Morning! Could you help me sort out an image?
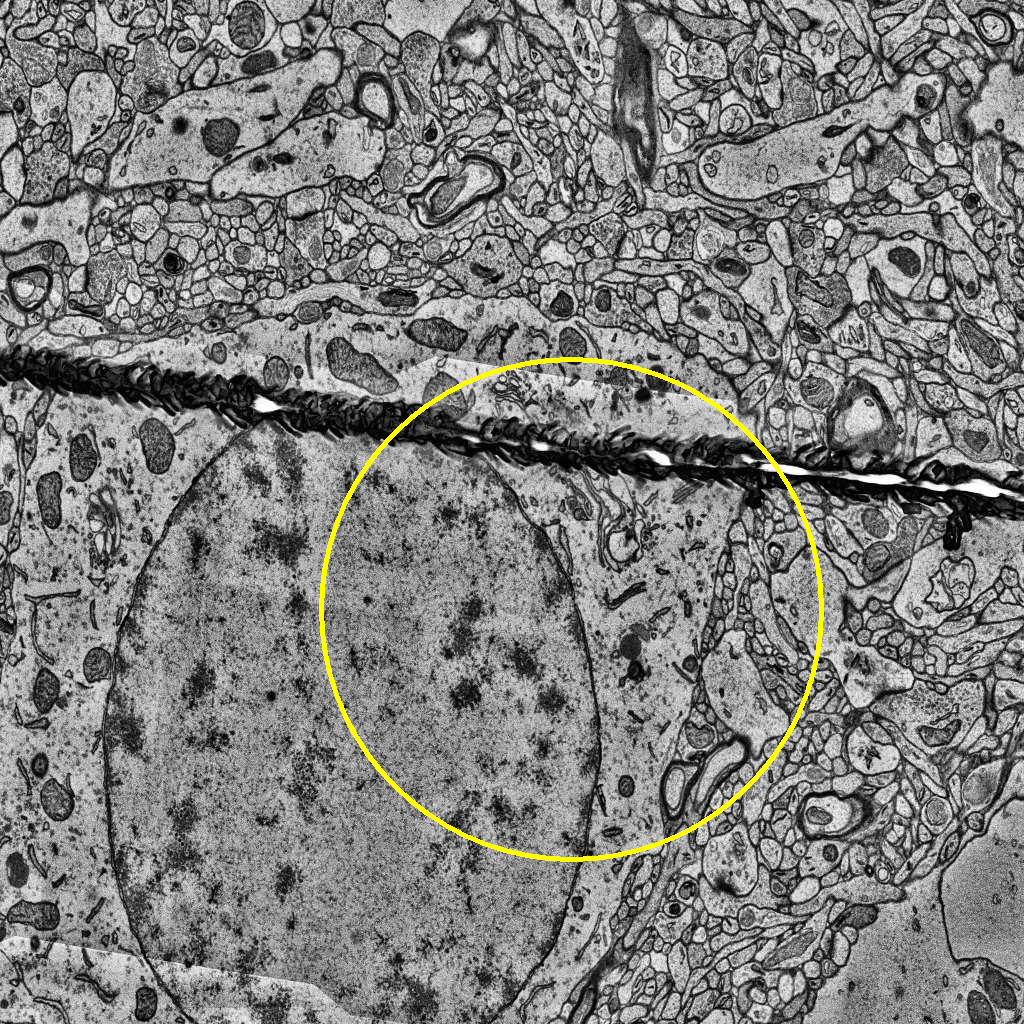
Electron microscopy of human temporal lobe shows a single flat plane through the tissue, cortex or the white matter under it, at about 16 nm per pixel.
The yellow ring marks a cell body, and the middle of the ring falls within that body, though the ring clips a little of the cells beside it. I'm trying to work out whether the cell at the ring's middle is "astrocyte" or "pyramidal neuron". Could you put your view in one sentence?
The cell body at the ring's middle is that of a pyramidal neuron.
